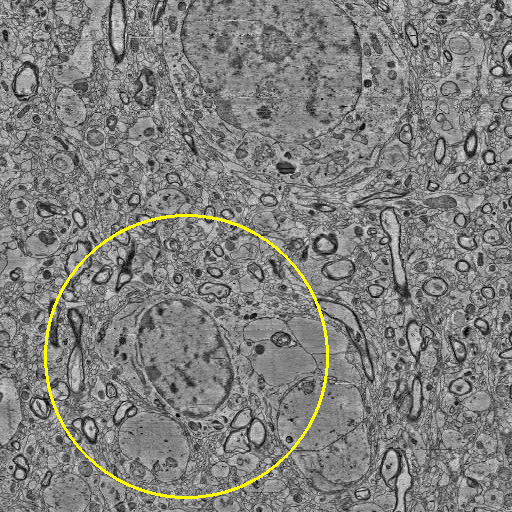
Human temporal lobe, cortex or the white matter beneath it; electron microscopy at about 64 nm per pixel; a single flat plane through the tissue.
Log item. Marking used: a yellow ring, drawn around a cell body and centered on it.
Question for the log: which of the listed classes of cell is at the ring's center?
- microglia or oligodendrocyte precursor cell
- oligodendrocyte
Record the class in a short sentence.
At the center of the ring lies a microglial cell or oligodendrocyte precursor cell.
